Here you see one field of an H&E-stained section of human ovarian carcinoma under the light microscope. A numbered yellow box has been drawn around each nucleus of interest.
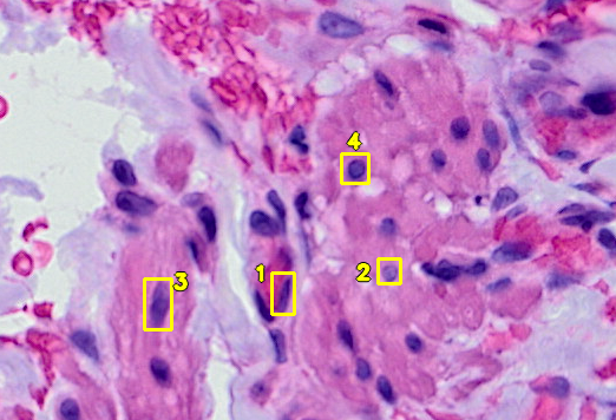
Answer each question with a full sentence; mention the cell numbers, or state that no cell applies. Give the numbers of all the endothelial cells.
Only number 1 of the marked cells is an endothelial cell.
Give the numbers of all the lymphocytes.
From first to last, the numbered cells include no lymphocytes.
